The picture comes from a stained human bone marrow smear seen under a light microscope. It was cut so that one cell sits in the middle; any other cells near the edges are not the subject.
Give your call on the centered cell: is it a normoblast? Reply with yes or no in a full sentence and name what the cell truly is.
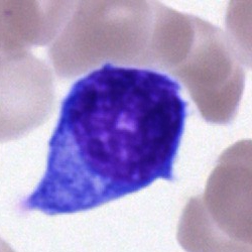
No, the cell placed at the center is a blast rather than a normoblast.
